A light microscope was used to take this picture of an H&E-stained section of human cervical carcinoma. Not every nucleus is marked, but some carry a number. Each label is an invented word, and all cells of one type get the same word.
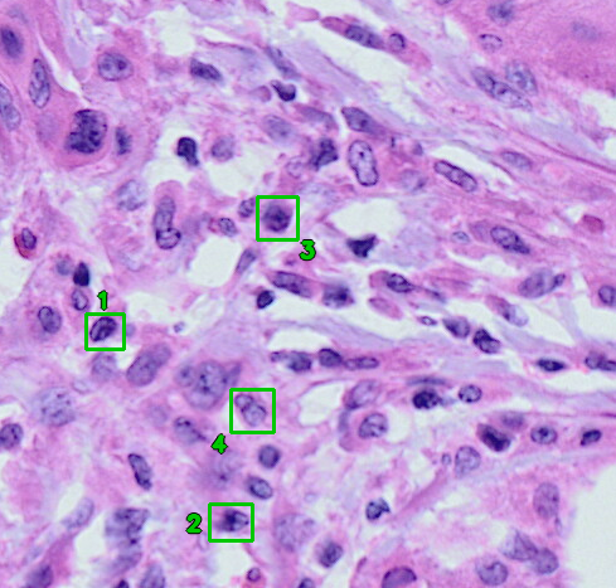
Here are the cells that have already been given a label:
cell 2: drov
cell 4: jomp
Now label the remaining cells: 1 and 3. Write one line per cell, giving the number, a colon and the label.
1: drov
3: drov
